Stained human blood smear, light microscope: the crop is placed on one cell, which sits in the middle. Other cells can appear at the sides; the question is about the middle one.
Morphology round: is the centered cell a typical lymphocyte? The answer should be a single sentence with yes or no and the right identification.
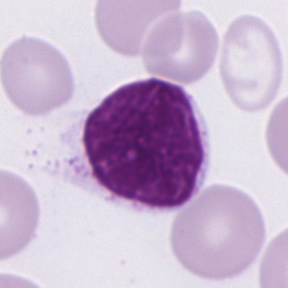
No, it is not a typical lymphocyte that sits at the centre but a large granular lymphocyte.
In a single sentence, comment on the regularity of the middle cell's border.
The cell is bounded by a ragged or projection-bearing margin rather than a smooth one.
